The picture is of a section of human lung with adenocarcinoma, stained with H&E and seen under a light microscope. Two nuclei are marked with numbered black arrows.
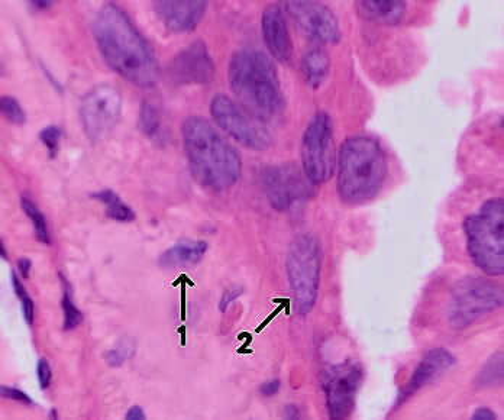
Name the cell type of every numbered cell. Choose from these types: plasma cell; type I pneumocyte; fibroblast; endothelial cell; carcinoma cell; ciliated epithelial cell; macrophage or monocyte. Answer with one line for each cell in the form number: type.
1: fibroblast
2: carcinoma cell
